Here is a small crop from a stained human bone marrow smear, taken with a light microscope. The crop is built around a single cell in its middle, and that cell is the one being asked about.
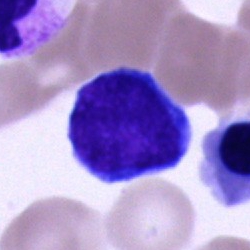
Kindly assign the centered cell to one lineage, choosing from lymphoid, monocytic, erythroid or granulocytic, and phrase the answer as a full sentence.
To the lymphoid lineage belongs the cell in the middle of the crop.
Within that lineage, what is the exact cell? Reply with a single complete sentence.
The centrally positioned cell in the crop represents a lymphocyte.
